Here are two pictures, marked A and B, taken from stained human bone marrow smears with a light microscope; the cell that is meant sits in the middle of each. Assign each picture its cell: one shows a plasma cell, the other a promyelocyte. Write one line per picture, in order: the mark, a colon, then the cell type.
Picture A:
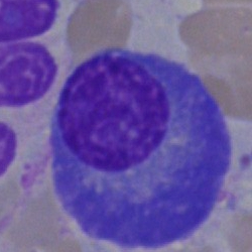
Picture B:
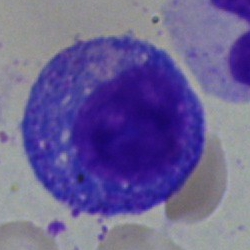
A: plasma cell
B: promyelocyte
